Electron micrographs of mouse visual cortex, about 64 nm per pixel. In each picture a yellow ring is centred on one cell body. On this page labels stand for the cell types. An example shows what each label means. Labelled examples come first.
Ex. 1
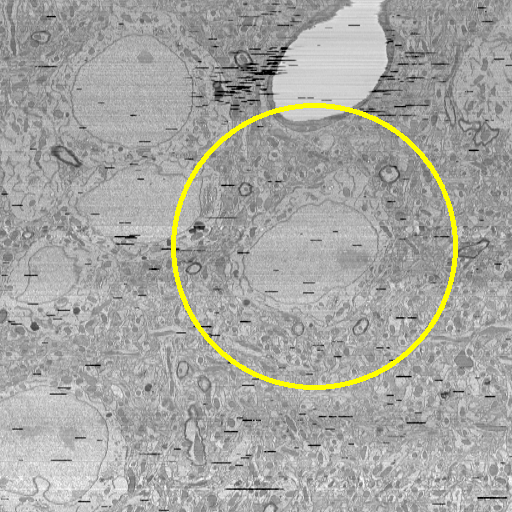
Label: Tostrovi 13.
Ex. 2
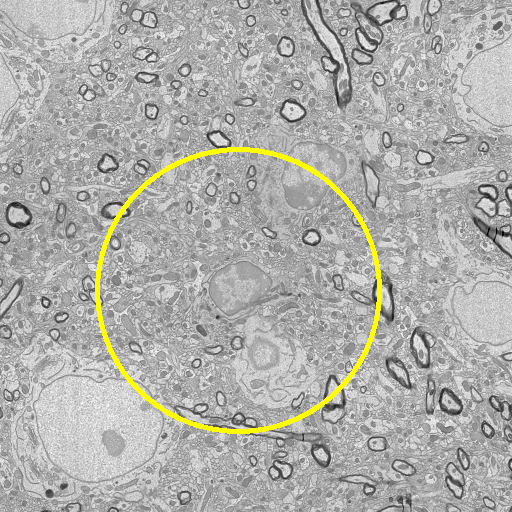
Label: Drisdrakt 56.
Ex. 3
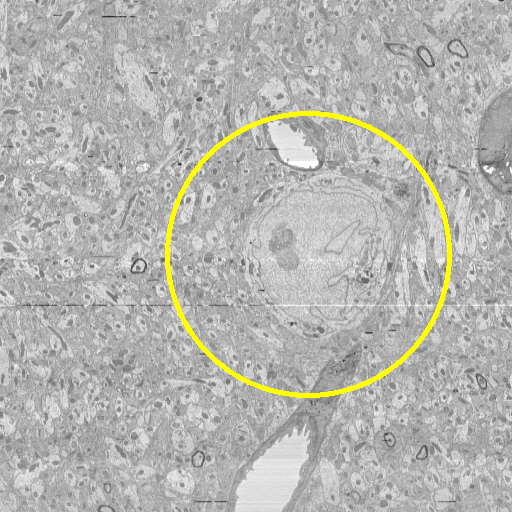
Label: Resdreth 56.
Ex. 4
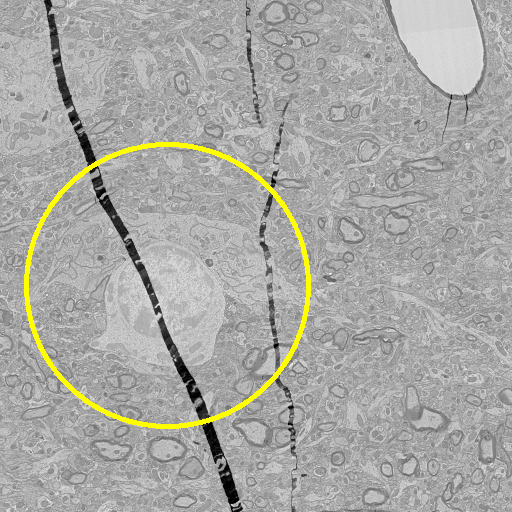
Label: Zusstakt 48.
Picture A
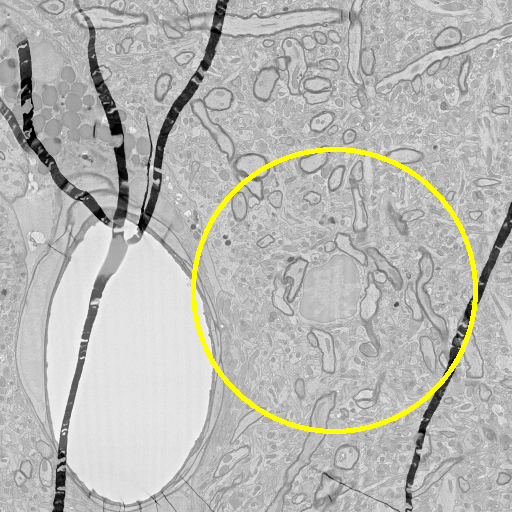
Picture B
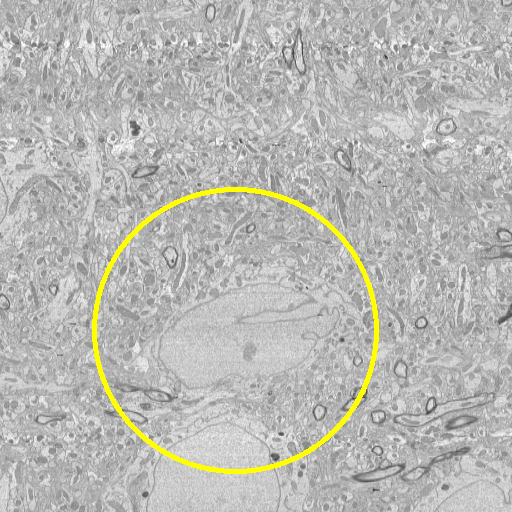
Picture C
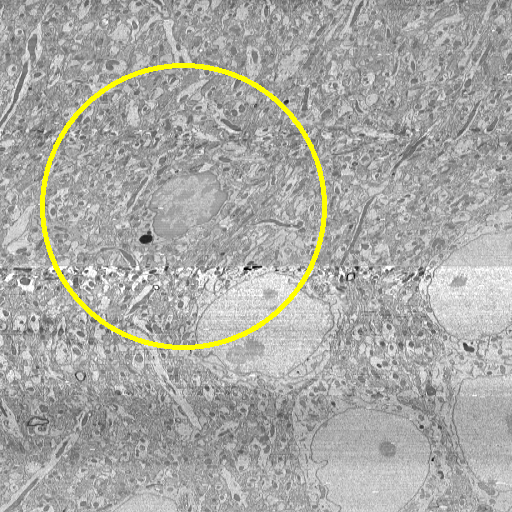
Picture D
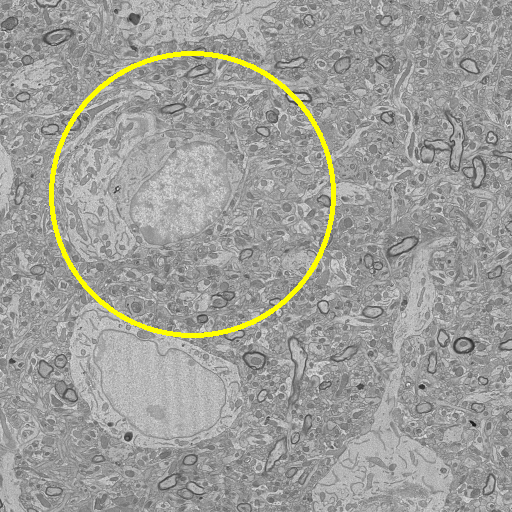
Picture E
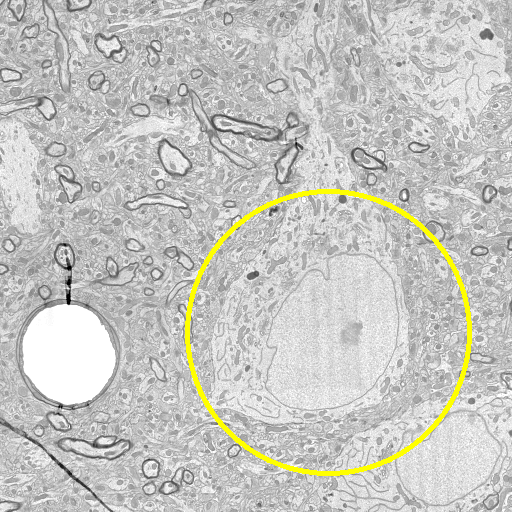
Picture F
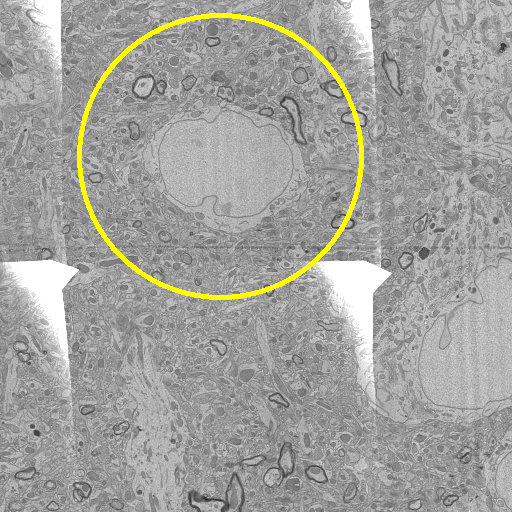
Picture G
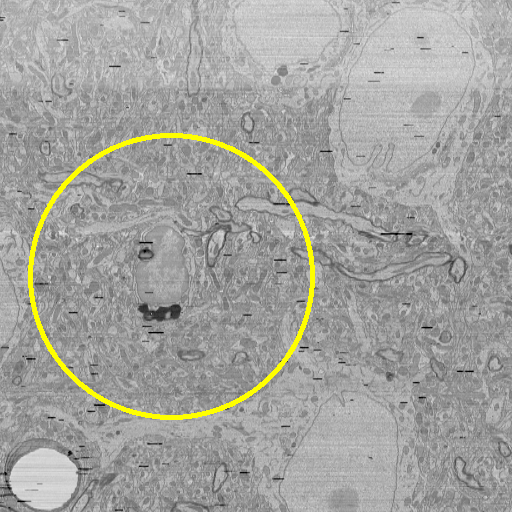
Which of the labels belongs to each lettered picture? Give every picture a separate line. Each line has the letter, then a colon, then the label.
A: Drisdrakt 56.
B: Resdreth 56.
C: Drisdrakt 56.
D: Zusstakt 48.
E: Tostrovi 13.
F: Tostrovi 13.
G: Drisdrakt 56.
